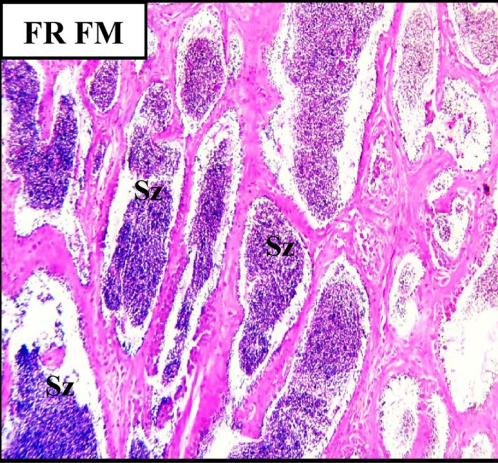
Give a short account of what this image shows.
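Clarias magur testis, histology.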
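The section shows many rounded and elongated lobules bounded by thin pink connective tissue walls, most of them filled with dense masses of minute dark purple dots, while some lumens look paler and emptier. The dots are far smaller than ordinary cell nuclei and lie crowded together without visible cytoplasm around them.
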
